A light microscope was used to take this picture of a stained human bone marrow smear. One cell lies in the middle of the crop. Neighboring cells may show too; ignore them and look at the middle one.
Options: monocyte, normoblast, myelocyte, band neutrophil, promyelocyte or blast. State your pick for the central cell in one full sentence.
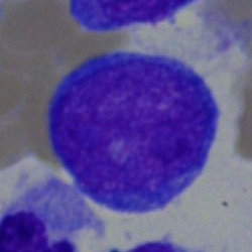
This crop's central cell is a blast.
